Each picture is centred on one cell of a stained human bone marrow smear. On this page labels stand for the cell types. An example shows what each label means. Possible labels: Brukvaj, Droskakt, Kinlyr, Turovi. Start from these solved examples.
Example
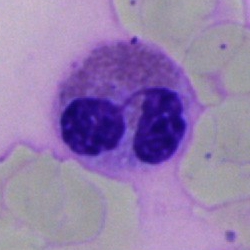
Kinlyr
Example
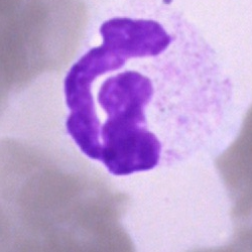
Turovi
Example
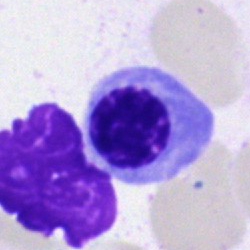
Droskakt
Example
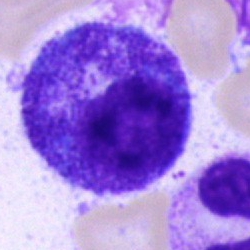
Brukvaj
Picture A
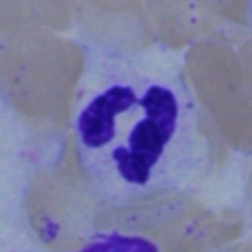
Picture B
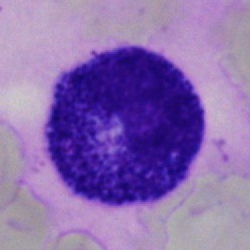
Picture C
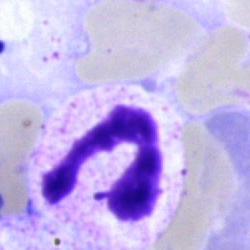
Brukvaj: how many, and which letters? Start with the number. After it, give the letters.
1, namely B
